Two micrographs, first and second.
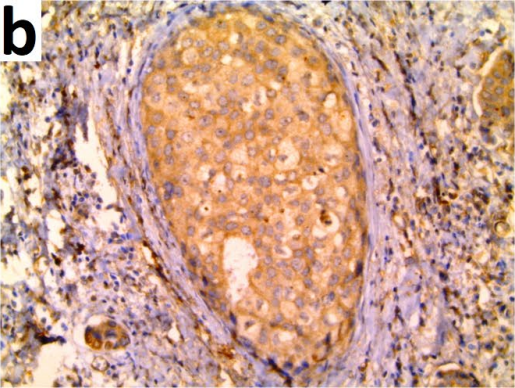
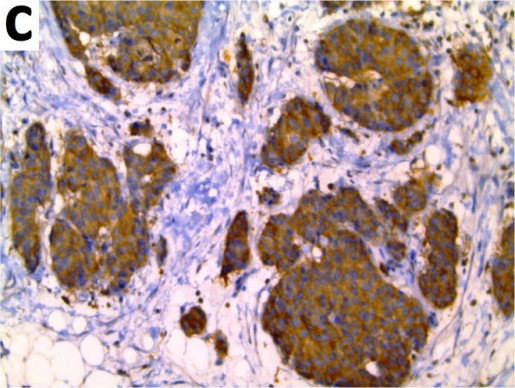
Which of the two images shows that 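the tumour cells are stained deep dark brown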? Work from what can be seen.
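First image: the cells of the nest are a light orange-brown. Second image: the tumour nests are a dense dark brown that contrasts with the blue stroma.
The second image.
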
